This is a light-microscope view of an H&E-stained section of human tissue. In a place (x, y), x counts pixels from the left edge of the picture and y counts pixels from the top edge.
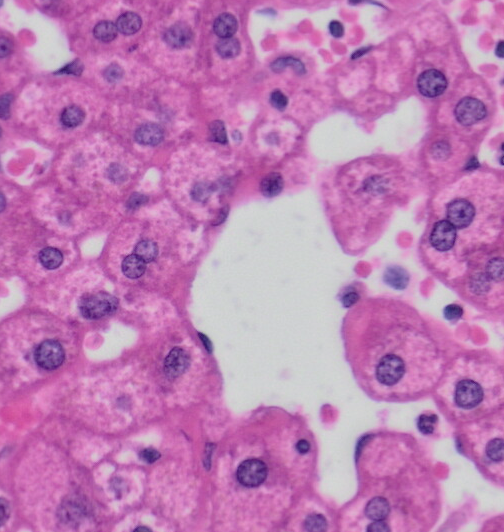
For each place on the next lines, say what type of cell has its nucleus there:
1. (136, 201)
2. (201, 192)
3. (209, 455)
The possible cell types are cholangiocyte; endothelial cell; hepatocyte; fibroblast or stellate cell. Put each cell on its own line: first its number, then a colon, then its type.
1: endothelial cell
2: hepatocyte
3: fibroblast or stellate cell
